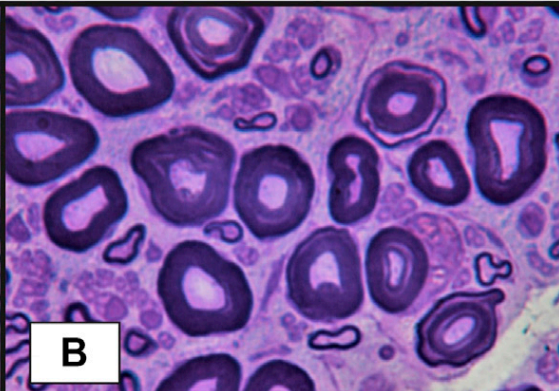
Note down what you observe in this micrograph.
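This transverse semithin section of a peripheral nerve fascicle shows myelinated nerve fibers cut across. Many large fibers have thick, dark blue-purple myelin rings surrounding pale pink axons, some of them round and others irregular or folded in outline. Between them lie smaller myelinated fibers with thin dark rings and clusters of tiny pale profiles without myelin. A pale band at the lower right edge marks the border of the fascicle.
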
